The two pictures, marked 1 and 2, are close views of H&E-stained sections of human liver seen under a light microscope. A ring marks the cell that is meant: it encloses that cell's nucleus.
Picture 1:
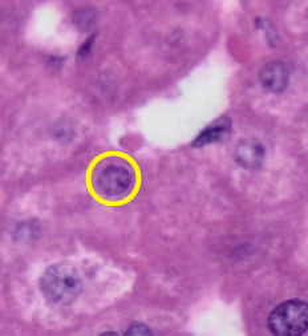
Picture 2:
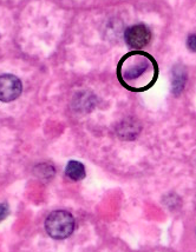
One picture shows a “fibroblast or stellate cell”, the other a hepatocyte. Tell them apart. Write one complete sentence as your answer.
The cell in picture 1 is a hepatocyte, and the one in picture 2 is a “fibroblast or stellate cell”.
